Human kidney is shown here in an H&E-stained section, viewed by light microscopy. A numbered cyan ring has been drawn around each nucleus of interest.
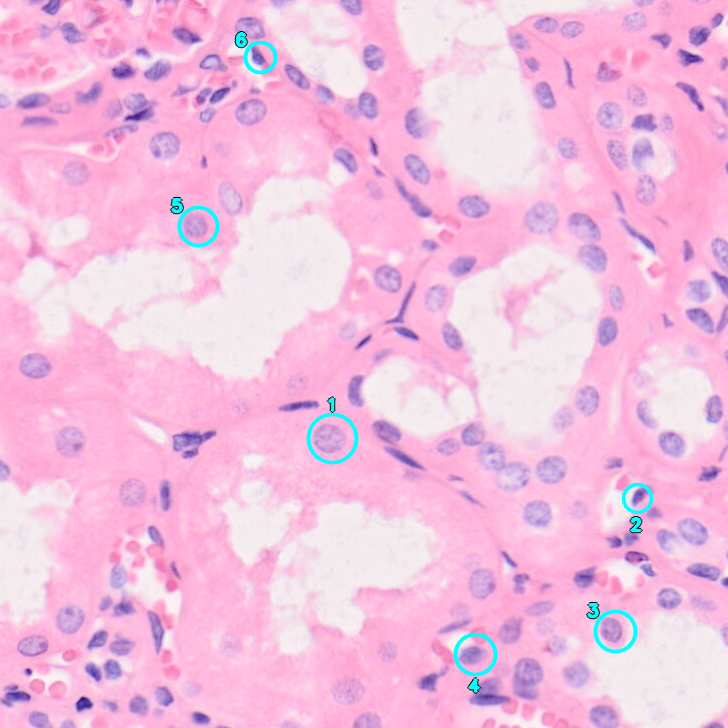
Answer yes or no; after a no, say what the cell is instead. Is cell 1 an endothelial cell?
No, it is a proximal tubule cell.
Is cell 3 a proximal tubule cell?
No, it is a loop of Henle or distal tubule cell.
